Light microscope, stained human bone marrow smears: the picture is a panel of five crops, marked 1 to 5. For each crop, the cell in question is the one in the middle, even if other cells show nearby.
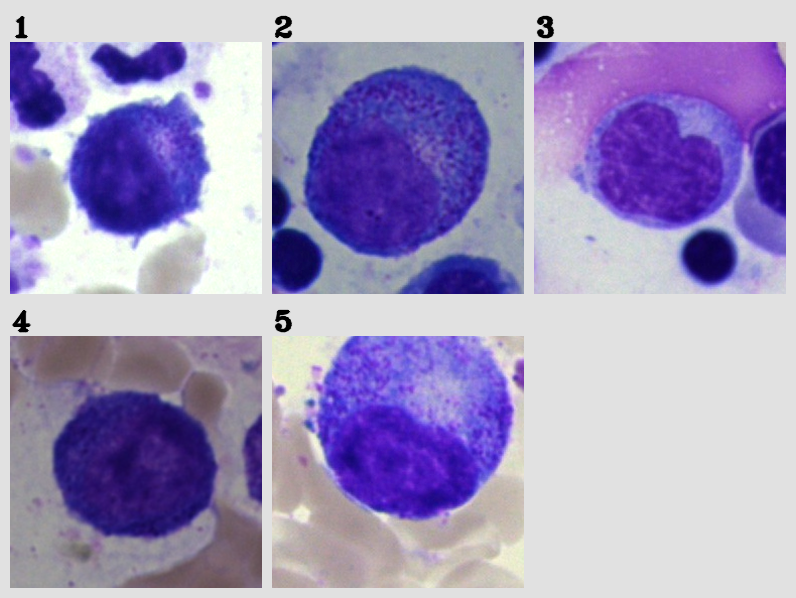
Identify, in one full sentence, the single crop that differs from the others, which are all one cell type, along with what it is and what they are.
Shown in crop 3 is a monocyte, in contrast to the promyelocytes of all the other crops.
